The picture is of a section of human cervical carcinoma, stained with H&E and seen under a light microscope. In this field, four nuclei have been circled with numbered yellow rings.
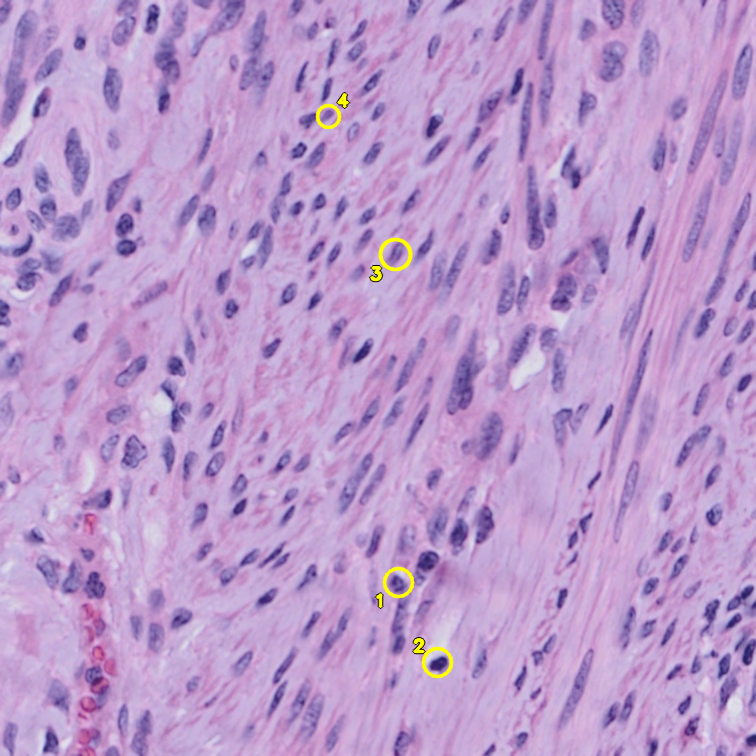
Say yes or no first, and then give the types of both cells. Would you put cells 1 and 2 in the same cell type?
Yes, both cell 1 and cell 2 count among the lymphocytes.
